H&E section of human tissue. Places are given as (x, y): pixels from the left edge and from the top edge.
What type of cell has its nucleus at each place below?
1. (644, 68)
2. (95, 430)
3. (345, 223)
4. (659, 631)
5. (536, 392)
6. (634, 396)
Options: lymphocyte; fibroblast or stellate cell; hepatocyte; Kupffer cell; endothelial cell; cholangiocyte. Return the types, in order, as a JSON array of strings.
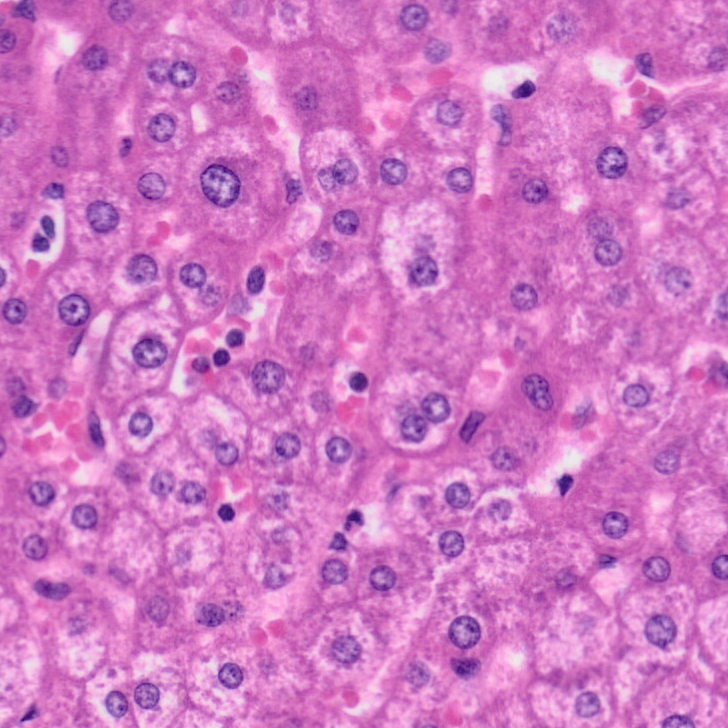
["endothelial cell", "Kupffer cell", "hepatocyte", "hepatocyte", "hepatocyte", "hepatocyte"]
